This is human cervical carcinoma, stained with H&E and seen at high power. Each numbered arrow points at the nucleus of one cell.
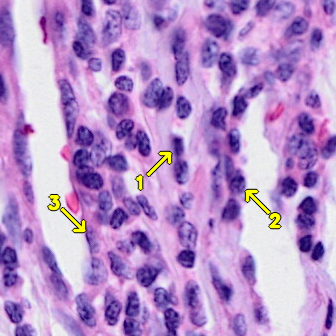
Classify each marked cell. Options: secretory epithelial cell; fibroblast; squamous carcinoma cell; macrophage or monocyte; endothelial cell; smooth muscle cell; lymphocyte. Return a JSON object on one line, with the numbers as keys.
{"1": "lymphocyte", "2": "lymphocyte", "3": "endothelial cell"}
